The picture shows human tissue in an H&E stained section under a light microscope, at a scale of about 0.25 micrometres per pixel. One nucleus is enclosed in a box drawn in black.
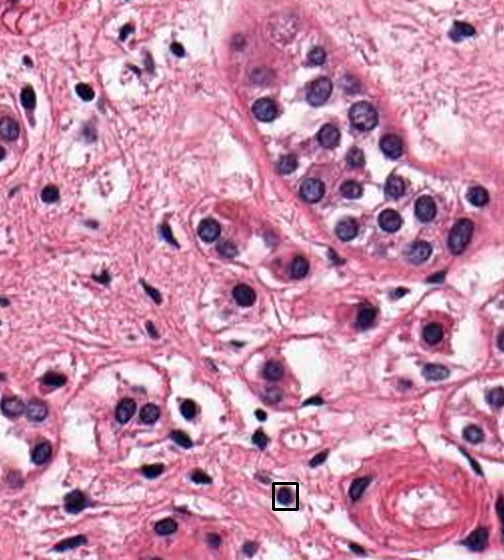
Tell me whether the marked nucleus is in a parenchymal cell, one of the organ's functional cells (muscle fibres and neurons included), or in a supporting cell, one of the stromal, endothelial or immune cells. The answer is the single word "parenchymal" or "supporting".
supporting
